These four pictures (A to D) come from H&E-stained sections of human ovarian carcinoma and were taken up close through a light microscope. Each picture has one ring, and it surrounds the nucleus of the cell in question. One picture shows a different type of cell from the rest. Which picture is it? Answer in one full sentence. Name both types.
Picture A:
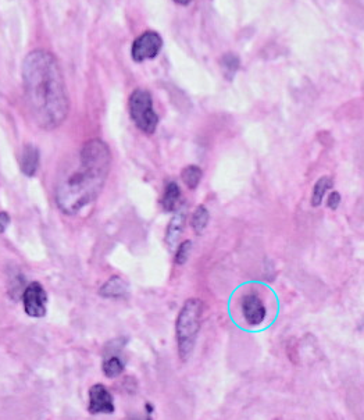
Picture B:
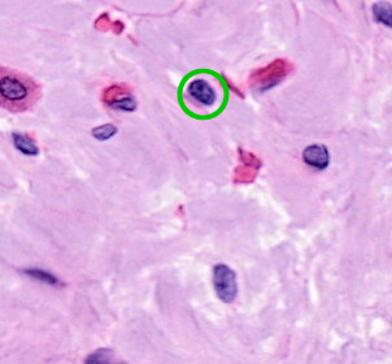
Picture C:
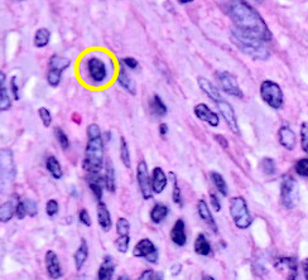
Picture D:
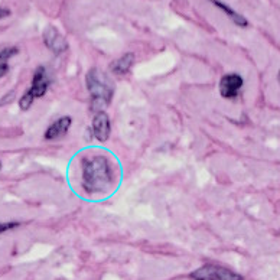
The others show lymphocytes, but picture D shows a fibroblast.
